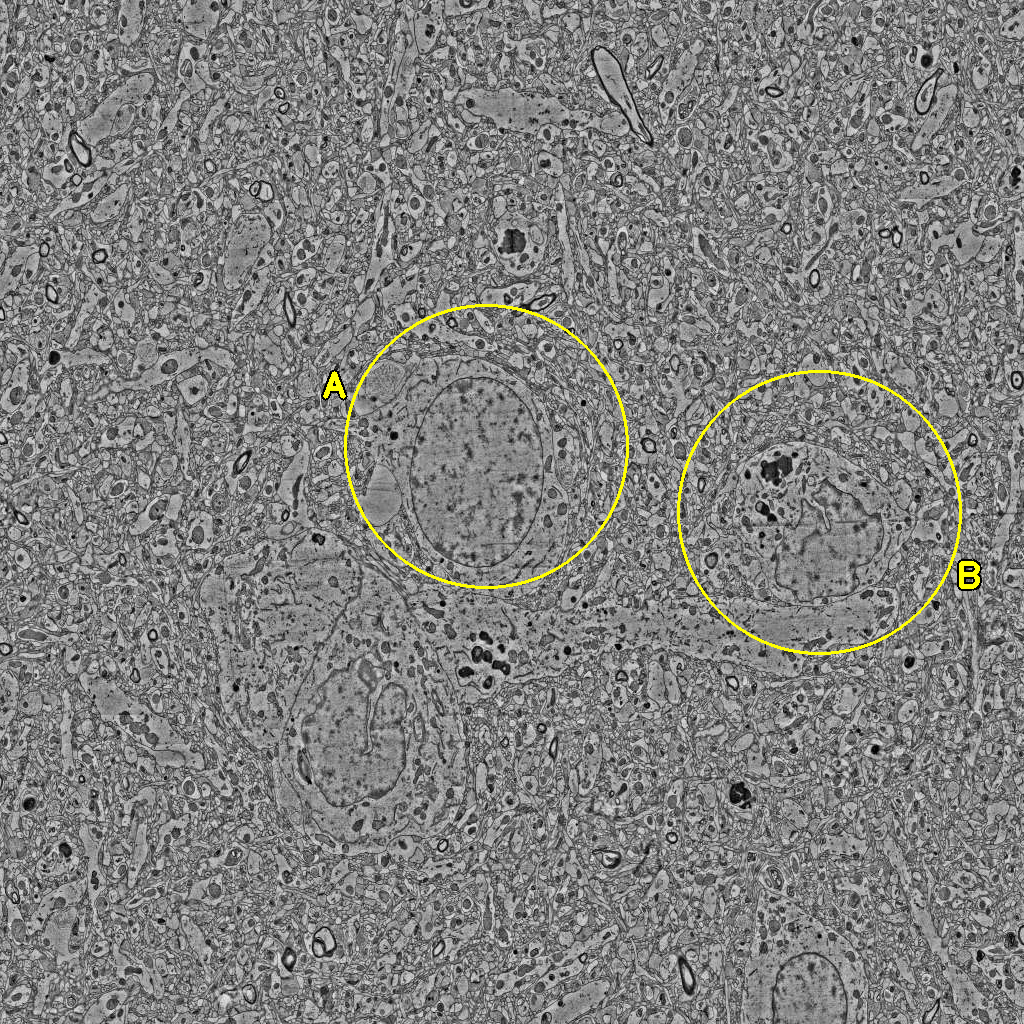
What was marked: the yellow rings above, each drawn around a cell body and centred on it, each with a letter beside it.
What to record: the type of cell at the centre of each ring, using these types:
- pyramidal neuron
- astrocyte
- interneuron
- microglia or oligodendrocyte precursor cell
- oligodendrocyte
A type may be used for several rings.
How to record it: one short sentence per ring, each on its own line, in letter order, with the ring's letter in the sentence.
Centred in ring A is a pyramidal neuron.
Centred in ring B is an interneuron.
